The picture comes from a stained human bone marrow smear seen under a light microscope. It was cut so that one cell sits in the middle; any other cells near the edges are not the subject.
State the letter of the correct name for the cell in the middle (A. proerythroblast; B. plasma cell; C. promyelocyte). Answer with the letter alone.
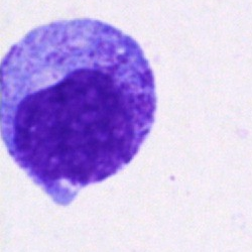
C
